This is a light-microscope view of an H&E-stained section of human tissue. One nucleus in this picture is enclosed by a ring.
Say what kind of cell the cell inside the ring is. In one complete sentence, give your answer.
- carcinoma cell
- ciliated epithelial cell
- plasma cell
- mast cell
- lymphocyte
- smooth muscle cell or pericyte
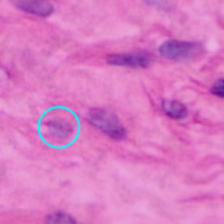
In this tissue section, the cell inside the ring is to be classed as a smooth muscle cell or pericyte.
